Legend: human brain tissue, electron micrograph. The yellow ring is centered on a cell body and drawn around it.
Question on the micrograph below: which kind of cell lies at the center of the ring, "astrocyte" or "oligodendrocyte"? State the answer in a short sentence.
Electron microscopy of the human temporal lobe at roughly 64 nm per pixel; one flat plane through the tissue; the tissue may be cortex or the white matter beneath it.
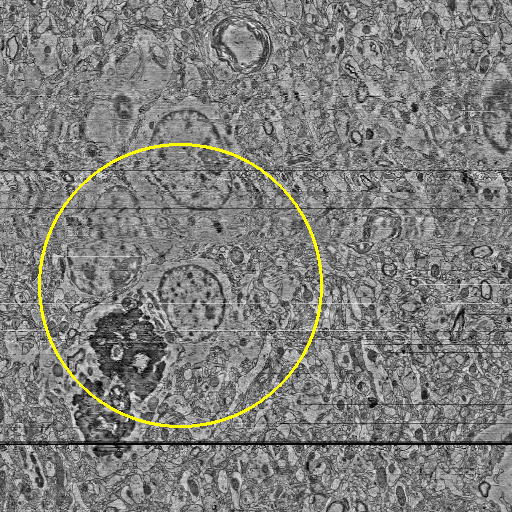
At the center of the ring lies an astrocyte.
